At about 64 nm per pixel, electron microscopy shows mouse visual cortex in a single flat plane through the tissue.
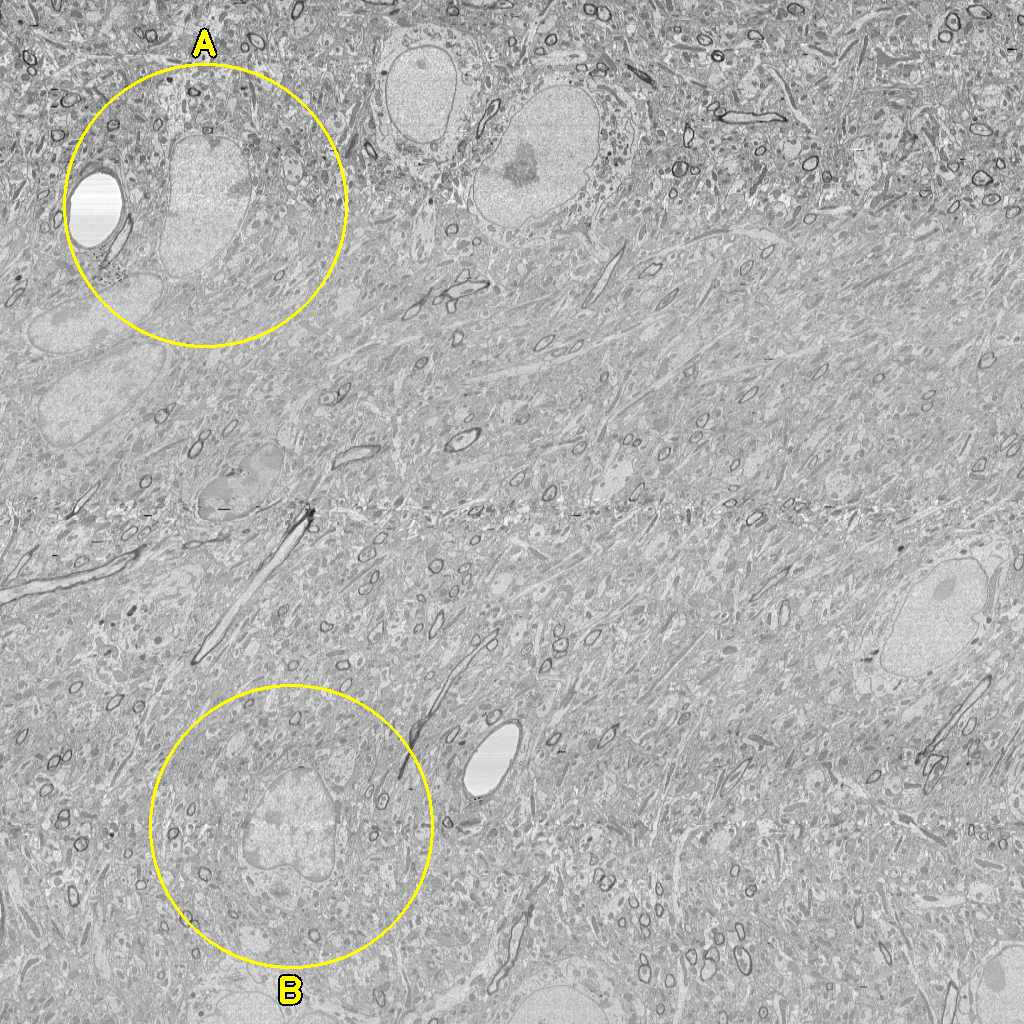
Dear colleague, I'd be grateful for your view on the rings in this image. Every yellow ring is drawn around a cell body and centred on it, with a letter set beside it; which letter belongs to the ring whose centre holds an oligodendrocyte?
B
